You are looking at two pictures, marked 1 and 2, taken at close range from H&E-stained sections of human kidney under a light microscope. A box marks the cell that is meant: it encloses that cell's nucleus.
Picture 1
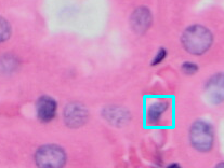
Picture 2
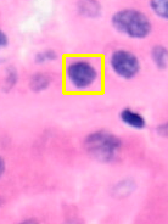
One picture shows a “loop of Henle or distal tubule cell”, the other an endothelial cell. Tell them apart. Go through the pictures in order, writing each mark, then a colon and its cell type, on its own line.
1: endothelial cell
2: loop of Henle or distal tubule cell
